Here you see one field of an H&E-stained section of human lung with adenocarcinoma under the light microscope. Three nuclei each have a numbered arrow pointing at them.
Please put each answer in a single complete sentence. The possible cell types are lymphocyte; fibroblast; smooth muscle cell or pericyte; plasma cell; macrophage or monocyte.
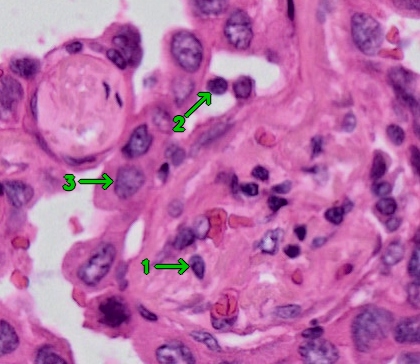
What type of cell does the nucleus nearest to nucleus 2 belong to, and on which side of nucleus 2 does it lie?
The nearest nucleus is that of a macrophage or monocyte and lies to the right of nucleus 2.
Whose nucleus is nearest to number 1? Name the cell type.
The nucleus nearest to number 1 is that of a plasma cell.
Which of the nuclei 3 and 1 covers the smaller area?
It is nucleus 1; nucleus 3 has about 2.5 times its area.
